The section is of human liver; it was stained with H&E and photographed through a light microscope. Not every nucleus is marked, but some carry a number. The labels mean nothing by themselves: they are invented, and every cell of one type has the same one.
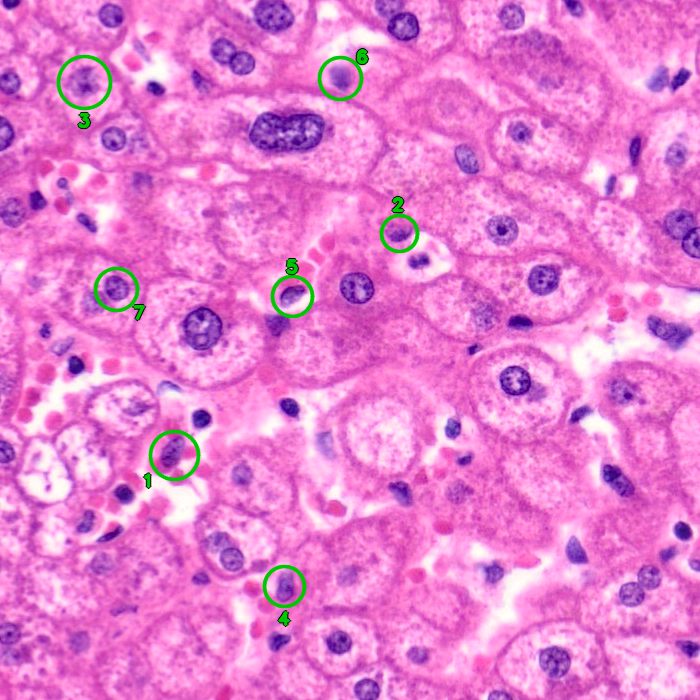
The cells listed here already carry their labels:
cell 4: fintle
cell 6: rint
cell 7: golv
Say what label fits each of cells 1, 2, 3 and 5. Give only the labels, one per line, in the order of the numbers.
fintle
rint
golv
fintle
